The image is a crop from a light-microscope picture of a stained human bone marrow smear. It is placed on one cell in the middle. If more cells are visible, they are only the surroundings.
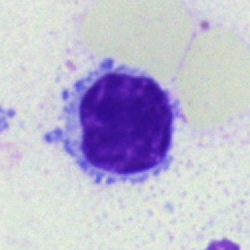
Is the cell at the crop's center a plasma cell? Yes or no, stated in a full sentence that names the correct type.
No, the central cell qualifies as a lymphocyte rather than as a plasma cell.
